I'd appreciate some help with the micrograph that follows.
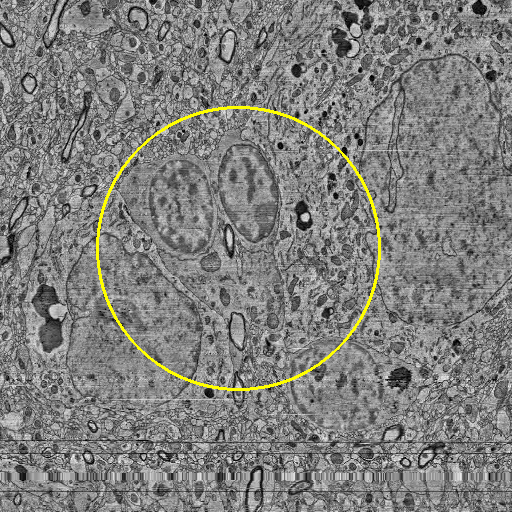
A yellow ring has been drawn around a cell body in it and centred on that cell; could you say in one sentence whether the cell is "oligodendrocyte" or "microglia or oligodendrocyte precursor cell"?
It is an oligodendrocyte at the centre of the ring.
